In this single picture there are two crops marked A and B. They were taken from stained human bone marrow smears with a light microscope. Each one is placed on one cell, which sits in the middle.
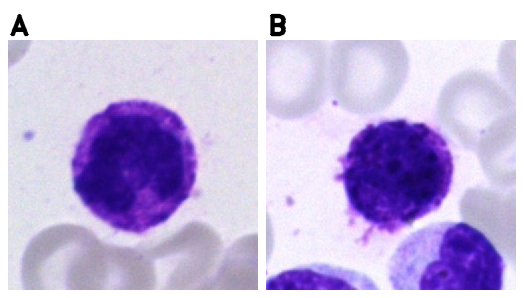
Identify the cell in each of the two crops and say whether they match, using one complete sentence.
Yes, the first and the second crop both show basophils.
